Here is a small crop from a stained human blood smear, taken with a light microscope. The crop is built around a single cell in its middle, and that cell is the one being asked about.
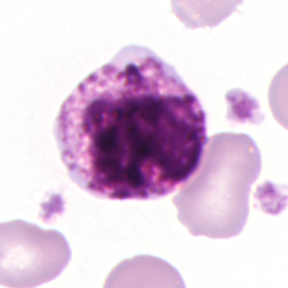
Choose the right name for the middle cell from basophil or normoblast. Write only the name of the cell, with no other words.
basophil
